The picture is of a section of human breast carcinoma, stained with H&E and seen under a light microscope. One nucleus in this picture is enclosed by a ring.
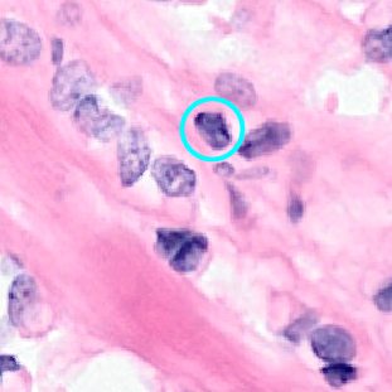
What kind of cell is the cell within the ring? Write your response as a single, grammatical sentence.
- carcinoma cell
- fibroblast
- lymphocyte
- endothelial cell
The identity of the cell within the ring is that of a lymphocyte.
